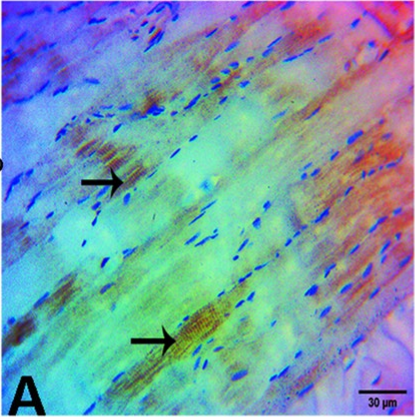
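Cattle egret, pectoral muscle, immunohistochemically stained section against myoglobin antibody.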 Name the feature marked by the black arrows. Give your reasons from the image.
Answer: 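The arrows point to brown-stained bands running across the long fibres. Fine regular transverse banding is visible where the arrows point. The answer: cross striations.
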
